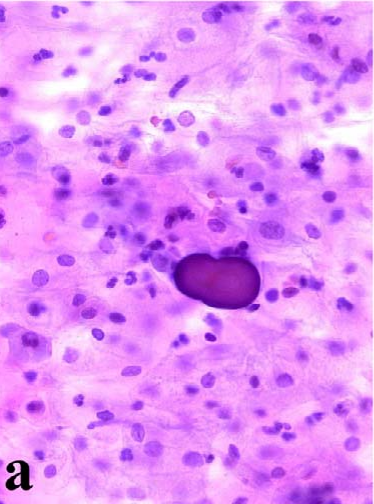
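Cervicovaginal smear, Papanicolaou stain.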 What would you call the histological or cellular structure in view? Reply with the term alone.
Psammoma body.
